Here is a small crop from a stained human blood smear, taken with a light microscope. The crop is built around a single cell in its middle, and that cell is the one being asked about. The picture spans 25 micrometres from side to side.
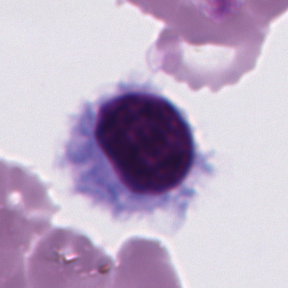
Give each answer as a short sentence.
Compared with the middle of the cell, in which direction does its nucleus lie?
The nucleus lies toward the upper right of the cell.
